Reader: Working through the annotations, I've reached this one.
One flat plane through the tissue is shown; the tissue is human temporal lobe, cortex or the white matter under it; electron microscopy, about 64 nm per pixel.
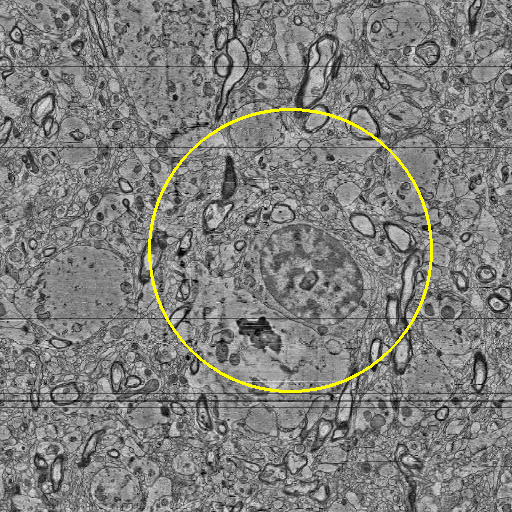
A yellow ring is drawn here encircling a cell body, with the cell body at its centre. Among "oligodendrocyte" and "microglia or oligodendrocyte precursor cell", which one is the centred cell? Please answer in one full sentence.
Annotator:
The cell body at the centre of the yellow ring in this image belongs to an oligodendrocyte.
